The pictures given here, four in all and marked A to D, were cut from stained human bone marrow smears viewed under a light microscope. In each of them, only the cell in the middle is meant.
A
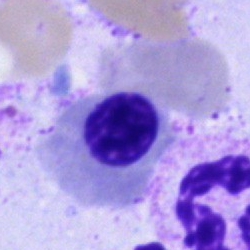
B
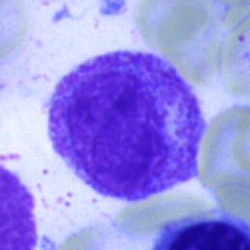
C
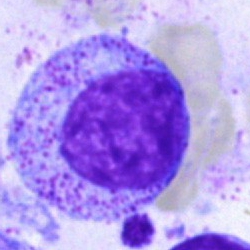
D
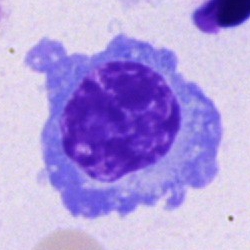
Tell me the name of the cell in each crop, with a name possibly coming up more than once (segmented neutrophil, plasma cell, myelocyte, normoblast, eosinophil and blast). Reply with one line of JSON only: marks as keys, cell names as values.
{"A": "normoblast", "B": "myelocyte", "C": "myelocyte", "D": "plasma cell"}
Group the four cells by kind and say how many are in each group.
myelocyte: 2
normoblast: 1
plasma cell: 1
